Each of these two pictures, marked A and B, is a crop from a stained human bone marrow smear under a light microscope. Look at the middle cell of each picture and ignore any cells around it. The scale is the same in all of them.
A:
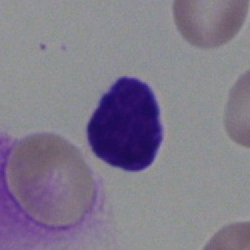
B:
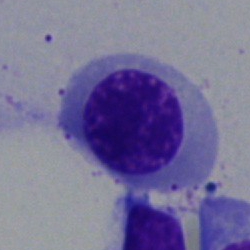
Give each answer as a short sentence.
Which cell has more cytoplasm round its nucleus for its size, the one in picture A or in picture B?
It is the cell in picture B that is filled less by its nucleus.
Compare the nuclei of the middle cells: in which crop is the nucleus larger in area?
Picture B shows the larger nucleus; it covers about 1.5 times the area of the nucleus in picture A.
